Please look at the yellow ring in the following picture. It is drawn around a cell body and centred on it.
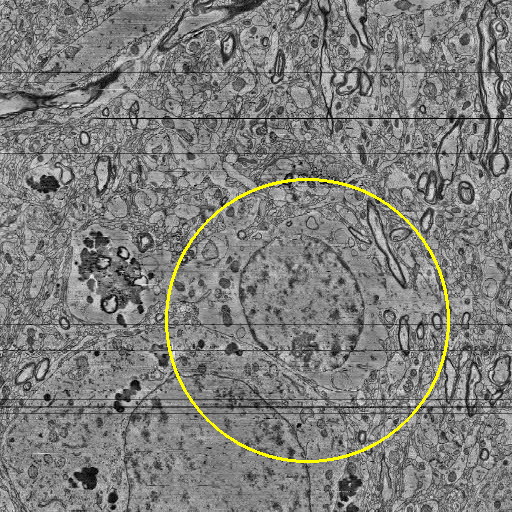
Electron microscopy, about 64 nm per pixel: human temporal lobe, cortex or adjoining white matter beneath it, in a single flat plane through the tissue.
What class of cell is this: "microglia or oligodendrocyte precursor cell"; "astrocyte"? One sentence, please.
The ring surrounds the cell body of an astrocyte.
